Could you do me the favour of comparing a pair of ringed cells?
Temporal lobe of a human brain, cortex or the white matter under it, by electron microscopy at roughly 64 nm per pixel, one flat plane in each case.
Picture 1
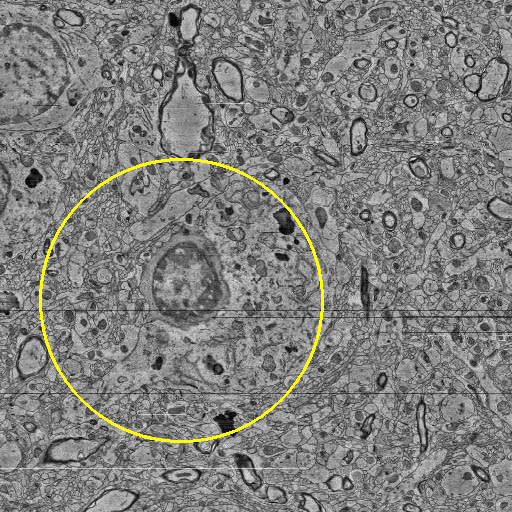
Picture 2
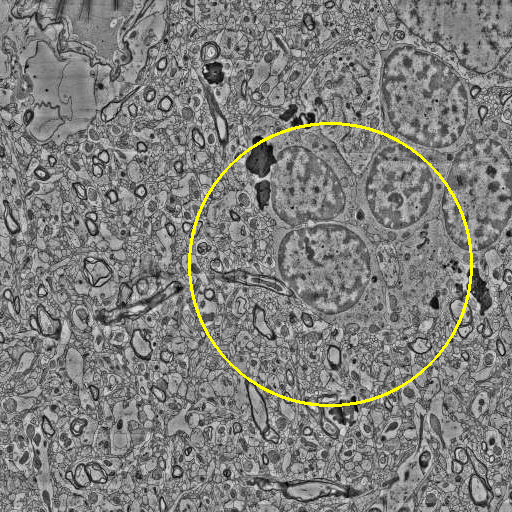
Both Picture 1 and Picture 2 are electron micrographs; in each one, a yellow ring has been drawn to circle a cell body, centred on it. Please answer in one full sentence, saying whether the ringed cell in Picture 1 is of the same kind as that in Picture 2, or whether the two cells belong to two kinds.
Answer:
The ringed cell in Picture 1 is of the same kind as that in Picture 2.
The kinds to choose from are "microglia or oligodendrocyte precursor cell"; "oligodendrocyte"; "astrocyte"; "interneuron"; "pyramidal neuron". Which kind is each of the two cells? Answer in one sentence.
Each one of the two ringed cells is an oligodendrocyte.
